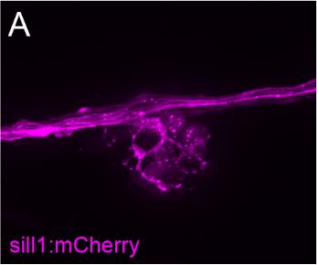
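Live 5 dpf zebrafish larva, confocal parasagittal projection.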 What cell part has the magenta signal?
Afferents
